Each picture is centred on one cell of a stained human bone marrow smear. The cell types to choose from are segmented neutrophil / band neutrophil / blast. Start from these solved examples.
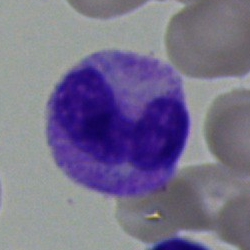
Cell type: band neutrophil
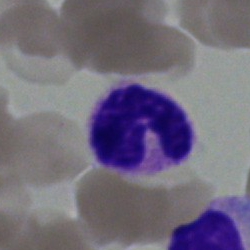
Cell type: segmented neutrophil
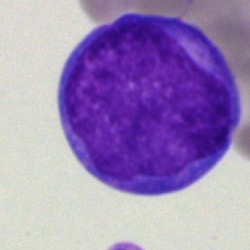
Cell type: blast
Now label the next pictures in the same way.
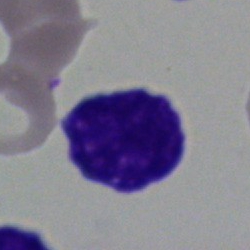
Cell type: blast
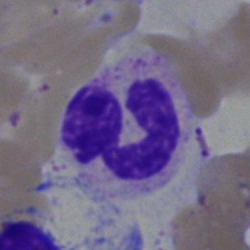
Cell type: segmented neutrophil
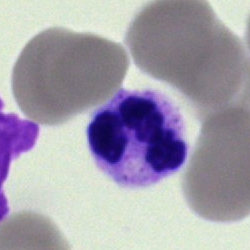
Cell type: segmented neutrophil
